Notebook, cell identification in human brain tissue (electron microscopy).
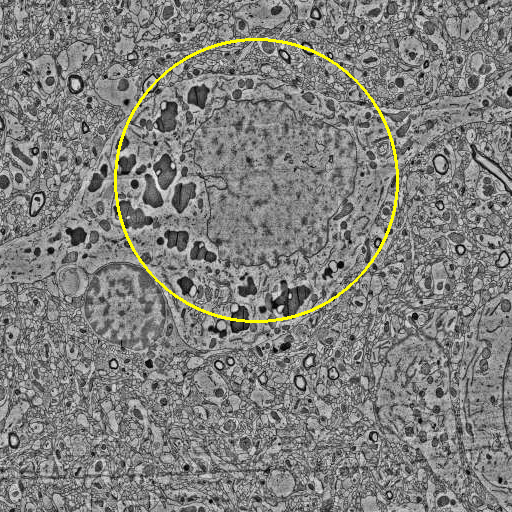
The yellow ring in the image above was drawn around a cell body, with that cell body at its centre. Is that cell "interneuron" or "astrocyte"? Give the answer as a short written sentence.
The cell in the ring is an interneuron.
